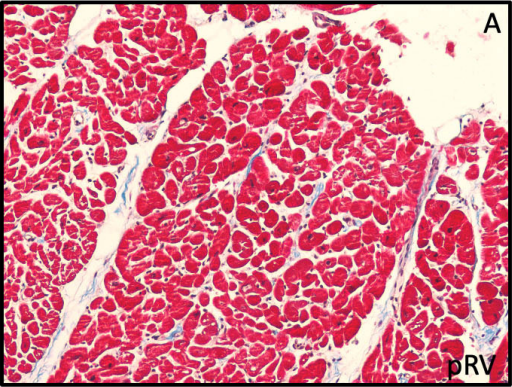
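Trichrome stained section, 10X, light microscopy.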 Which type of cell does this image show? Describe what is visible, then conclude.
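Cardiomyocytes. Densely packed red-stained muscle fibres cut in cross section. Fibres have central nuclei and are grouped in bundles separated by thin pale septa.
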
